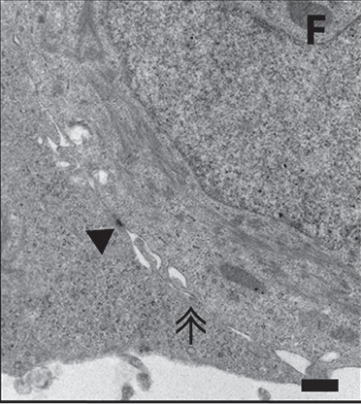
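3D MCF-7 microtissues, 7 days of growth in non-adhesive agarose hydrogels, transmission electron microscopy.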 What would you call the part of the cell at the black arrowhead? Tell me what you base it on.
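Desmosomes. A small dark dense spot lies on the membrane line between two neighbouring cells.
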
